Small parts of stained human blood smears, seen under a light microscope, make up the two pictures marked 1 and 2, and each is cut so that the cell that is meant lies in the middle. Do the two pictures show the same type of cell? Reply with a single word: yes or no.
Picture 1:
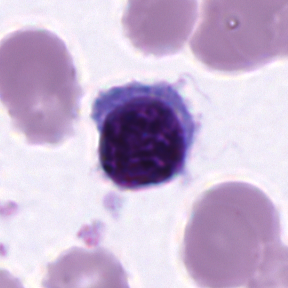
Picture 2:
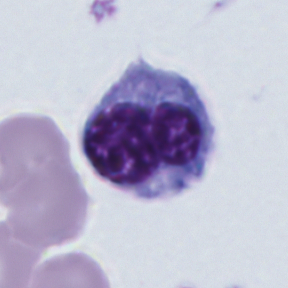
yes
